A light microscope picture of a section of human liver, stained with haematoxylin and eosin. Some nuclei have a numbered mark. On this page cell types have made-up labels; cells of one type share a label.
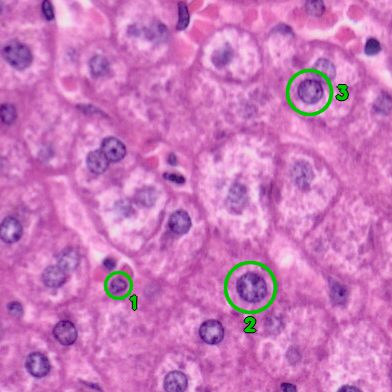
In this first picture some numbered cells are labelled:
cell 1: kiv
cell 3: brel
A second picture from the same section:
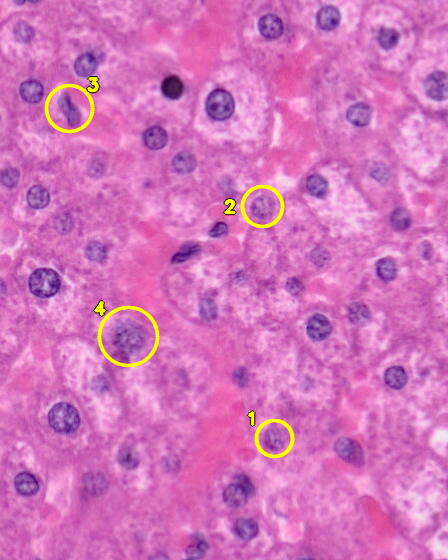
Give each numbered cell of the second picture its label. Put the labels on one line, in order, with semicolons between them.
brel; brel; kiv; brel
